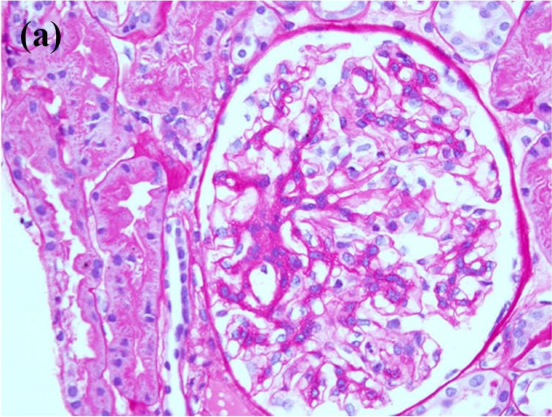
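A single glomerulus is shown within its capsule, surrounded by renal tubules. The capillary tuft is lobulated and fills most of the capsular space, leaving a narrow clear space beneath the capsule, whose wall is a bright magenta band. Around the glomerulus lie tubules lined by pink cuboidal epithelial cells with round nuclei and magenta basement membranes.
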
